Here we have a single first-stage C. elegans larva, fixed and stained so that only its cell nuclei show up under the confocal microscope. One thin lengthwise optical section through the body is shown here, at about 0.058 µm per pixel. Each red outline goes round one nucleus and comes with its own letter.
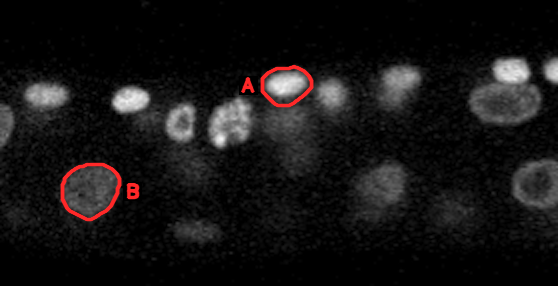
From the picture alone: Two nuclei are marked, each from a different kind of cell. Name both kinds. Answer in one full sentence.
The nucleus A is that of a neuron, while B is that of an intestinal cell.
